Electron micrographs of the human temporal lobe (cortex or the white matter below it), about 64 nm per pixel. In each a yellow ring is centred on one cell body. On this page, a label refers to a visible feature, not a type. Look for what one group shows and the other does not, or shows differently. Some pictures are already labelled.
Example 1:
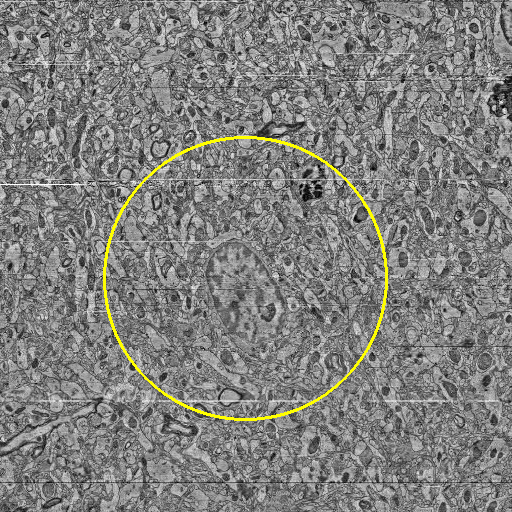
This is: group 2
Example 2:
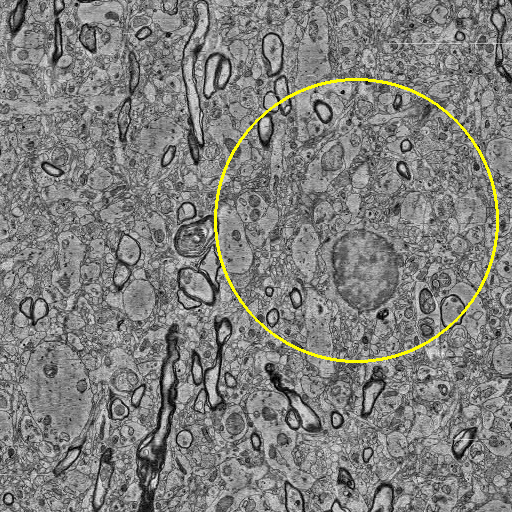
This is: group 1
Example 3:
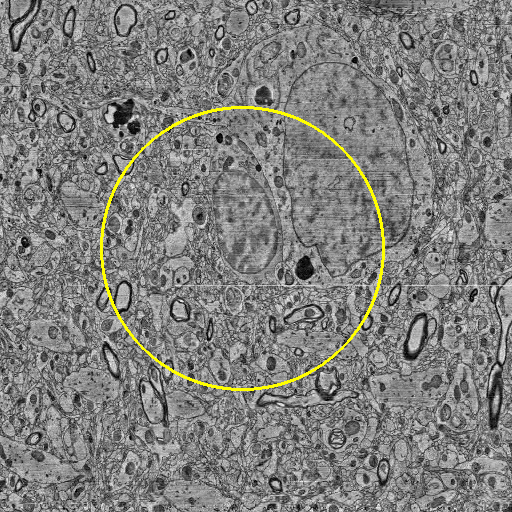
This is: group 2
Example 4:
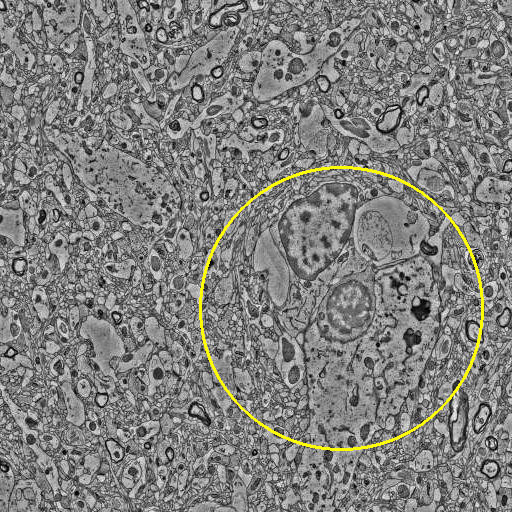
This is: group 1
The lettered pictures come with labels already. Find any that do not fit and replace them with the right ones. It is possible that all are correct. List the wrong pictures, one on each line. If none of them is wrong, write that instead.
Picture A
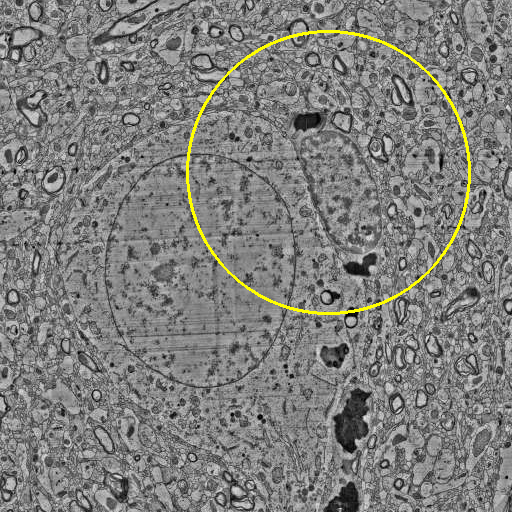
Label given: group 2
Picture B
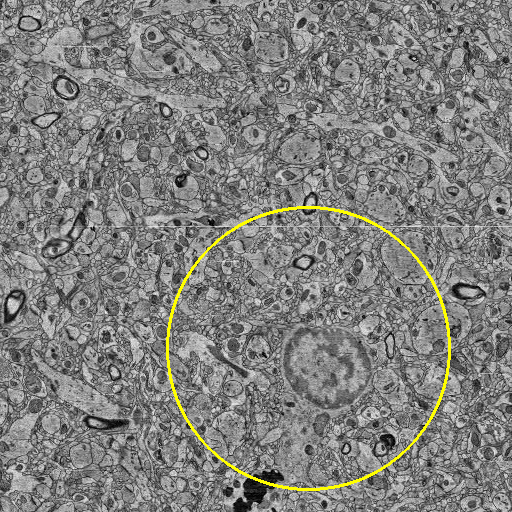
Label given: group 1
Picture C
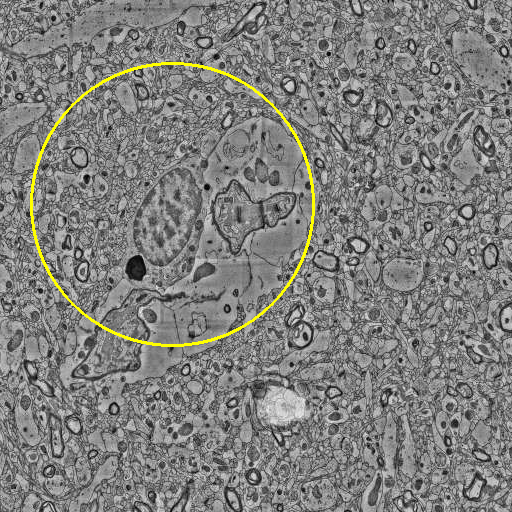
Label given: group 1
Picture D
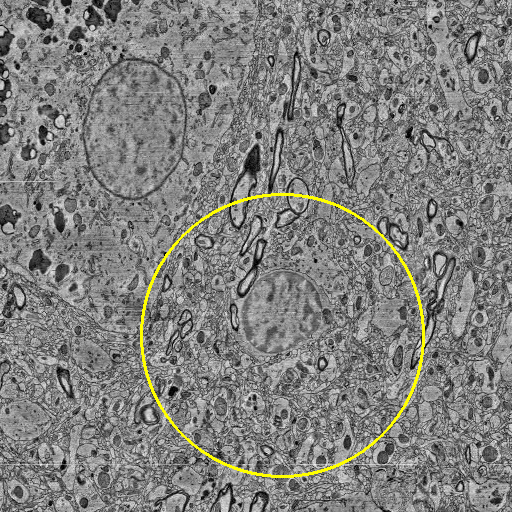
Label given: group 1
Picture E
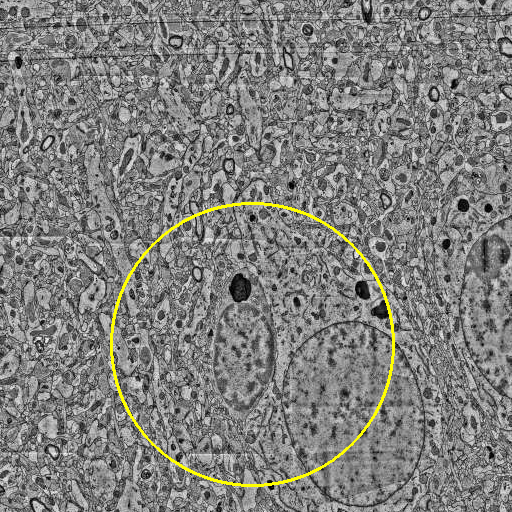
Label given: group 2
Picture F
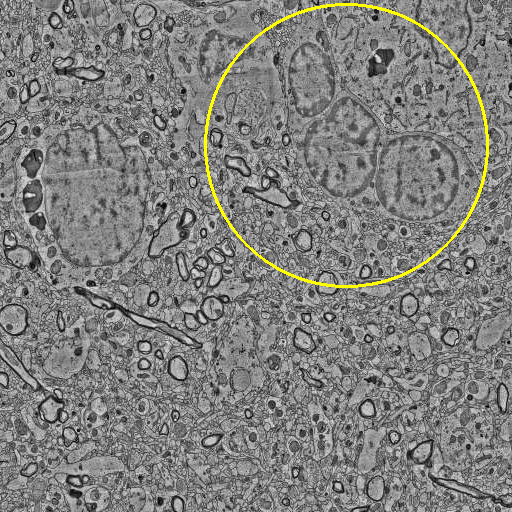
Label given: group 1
C: group 2, not group 1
